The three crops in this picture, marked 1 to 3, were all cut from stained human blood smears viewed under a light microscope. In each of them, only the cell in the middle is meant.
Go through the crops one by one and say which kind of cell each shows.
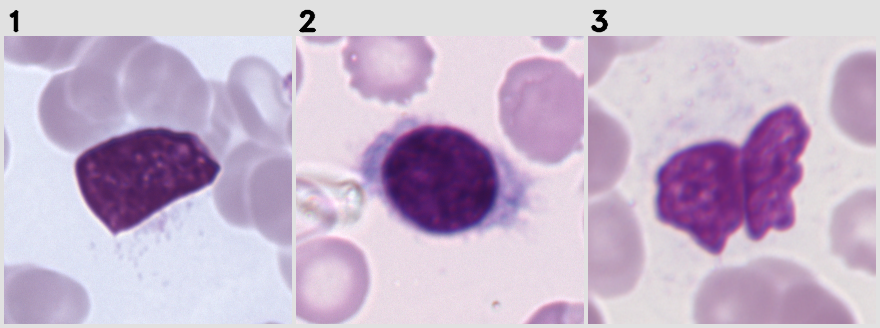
1: smudge cell
2: hairy cell
3: smudge cell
